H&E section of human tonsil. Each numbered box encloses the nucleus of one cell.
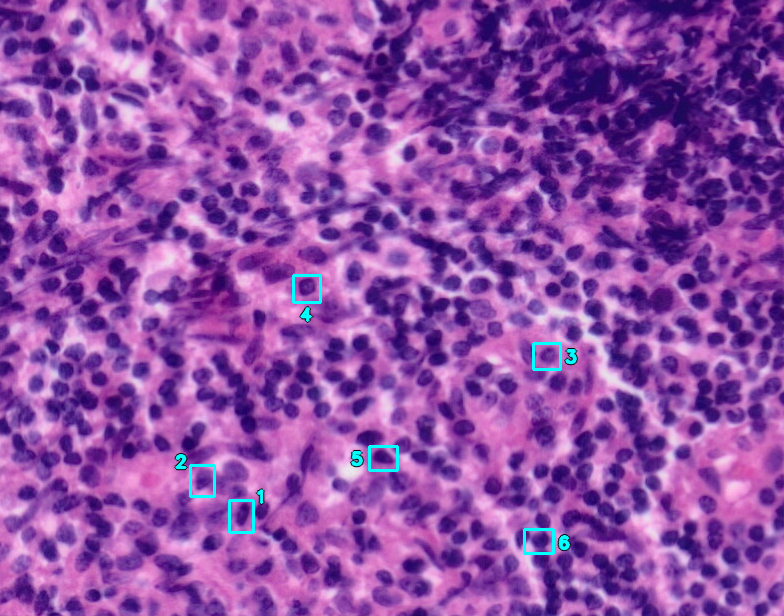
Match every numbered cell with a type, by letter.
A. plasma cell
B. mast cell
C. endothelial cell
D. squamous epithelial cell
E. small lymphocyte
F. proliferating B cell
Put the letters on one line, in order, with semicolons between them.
A; D; A; A; A; E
